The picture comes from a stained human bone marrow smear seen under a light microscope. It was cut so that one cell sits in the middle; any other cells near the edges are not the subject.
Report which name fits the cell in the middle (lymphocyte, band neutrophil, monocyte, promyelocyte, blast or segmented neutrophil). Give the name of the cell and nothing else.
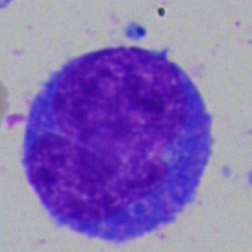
blast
